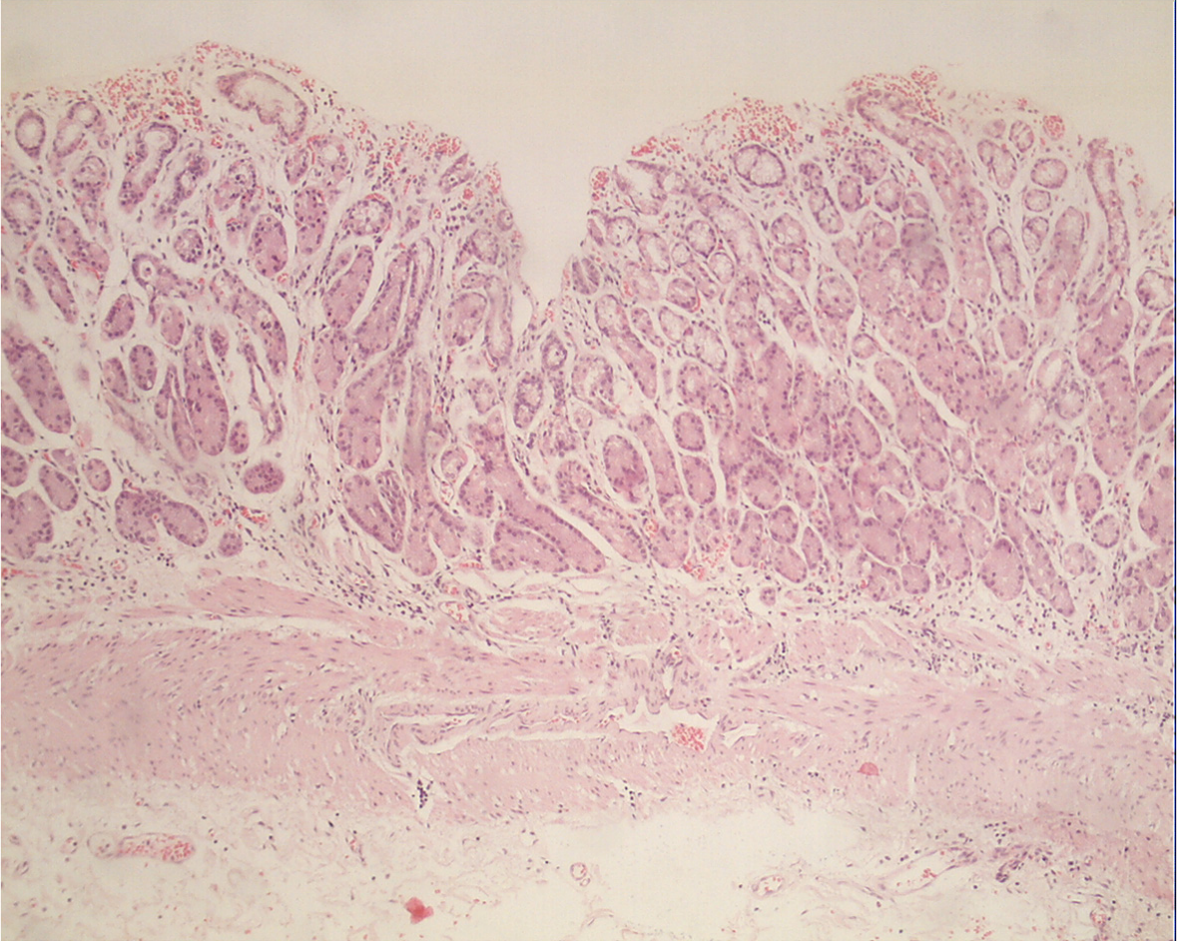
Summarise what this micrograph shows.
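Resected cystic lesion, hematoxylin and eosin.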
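This section shows gastric mucosa forming the wall, with a thick band of smooth muscle beneath it. The mucosa is made of closely packed tubular glands cut both lengthwise and across, lined by cells with pink cytoplasm and round, dark purple nuclei. Near the surface some glands are lined by paler columnar cells, and red blood cells are scattered in the superficial lamina propria. Thin strands of loose connective tissue separate the glands, and a narrow cleft divides the mucosa into two mounds. Below the glands lies a broad pink layer of spindle-shaped smooth muscle cells with elongated nuclei arranged in parallel, followed by loose, pale connective tissue containing small vessels.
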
